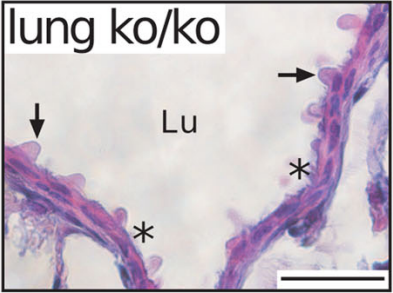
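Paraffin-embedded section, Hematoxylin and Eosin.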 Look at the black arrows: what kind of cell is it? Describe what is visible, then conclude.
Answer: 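The arrowed cells protrude into the lumen with rounded, dome-shaped tops. They sit in a thin epithelial lining of an airway. The answer: Club cells.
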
